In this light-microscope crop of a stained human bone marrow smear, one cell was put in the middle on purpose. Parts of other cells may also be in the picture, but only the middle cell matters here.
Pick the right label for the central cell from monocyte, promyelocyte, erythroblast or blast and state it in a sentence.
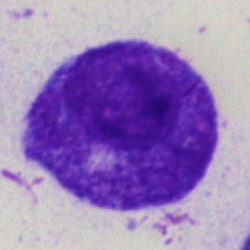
In the center of this field lies a promyelocyte.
